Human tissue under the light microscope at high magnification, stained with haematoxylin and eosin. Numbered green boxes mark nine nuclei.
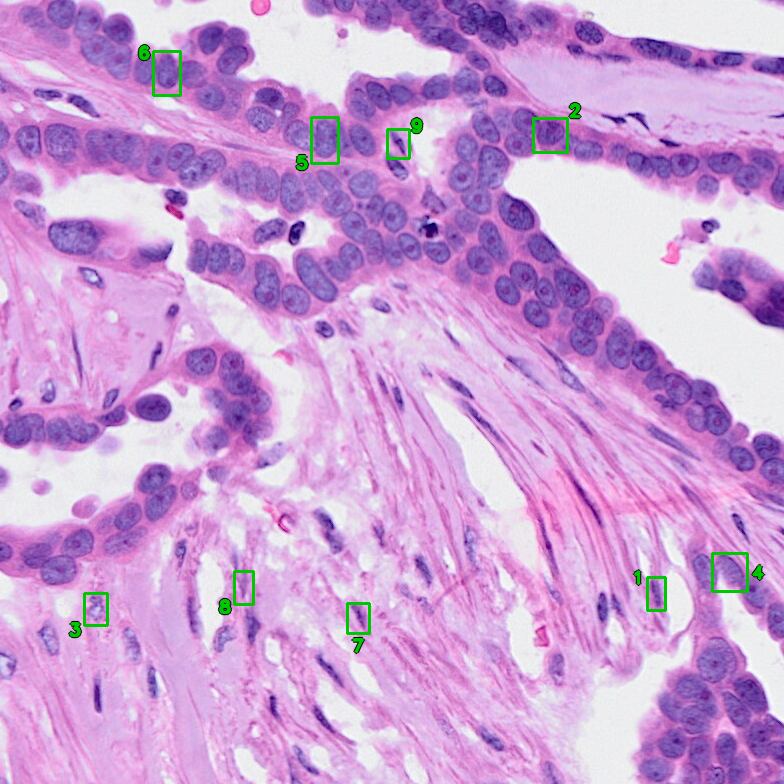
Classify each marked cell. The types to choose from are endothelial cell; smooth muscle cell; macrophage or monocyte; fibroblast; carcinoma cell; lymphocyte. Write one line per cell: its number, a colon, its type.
1: fibroblast
2: carcinoma cell
3: fibroblast
4: carcinoma cell
5: carcinoma cell
6: carcinoma cell
7: fibroblast
8: fibroblast
9: fibroblast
